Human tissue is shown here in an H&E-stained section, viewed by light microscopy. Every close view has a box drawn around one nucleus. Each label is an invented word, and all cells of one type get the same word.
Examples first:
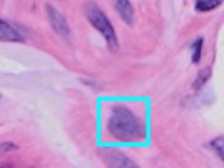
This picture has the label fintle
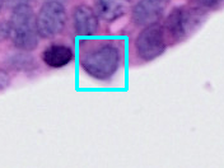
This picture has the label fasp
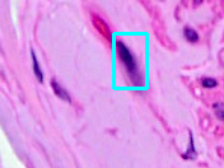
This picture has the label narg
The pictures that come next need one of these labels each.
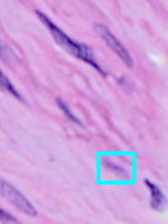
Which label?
fintle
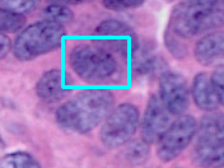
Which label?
fasp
